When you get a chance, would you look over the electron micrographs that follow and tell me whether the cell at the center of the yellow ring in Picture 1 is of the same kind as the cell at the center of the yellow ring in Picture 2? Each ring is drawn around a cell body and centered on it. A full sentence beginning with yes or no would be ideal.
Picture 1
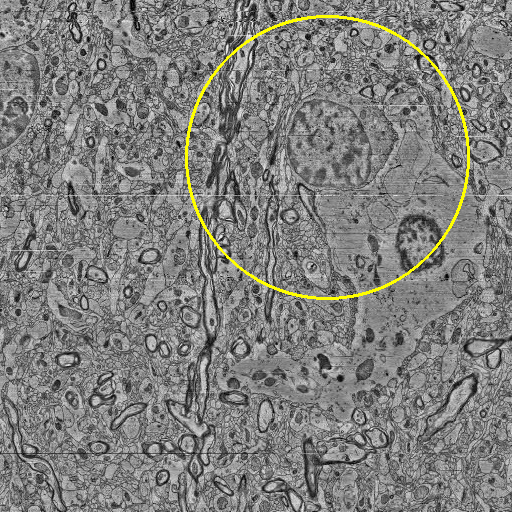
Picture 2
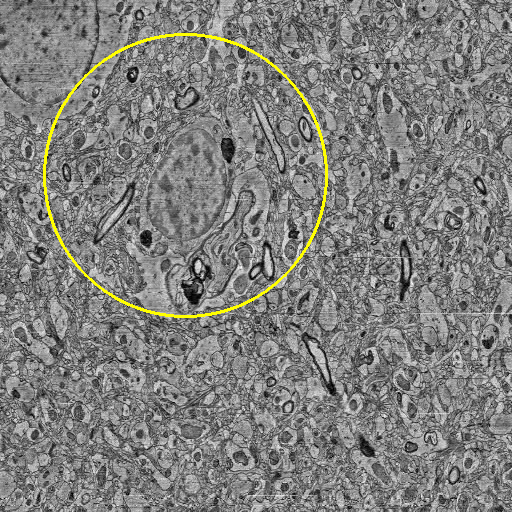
Yes, the two cells are of the same kind.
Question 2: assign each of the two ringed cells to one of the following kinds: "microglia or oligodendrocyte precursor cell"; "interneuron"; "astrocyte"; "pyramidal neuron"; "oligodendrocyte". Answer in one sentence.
Both rings mark an oligodendrocyte, one in each picture.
